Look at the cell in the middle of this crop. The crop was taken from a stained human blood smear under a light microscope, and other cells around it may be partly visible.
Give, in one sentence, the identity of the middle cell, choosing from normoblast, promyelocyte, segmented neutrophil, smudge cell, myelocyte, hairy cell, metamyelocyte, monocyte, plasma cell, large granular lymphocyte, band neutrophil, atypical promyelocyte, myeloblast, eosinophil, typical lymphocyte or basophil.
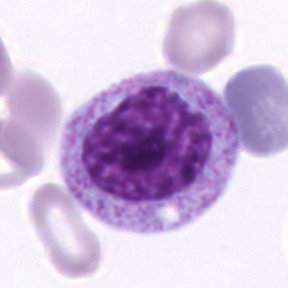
Here the centrally located cell is a myelocyte.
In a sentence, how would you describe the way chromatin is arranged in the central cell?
Its nuclear chromatin is gathered into coarse clumps.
